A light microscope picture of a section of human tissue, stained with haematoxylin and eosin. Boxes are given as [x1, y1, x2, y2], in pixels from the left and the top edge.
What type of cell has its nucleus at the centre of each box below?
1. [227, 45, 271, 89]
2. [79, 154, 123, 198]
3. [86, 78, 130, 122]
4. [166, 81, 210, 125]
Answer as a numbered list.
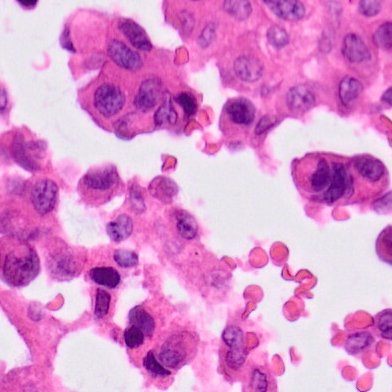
1. macrophage or monocyte
2. carcinoma cell
3. carcinoma cell
4. carcinoma cell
